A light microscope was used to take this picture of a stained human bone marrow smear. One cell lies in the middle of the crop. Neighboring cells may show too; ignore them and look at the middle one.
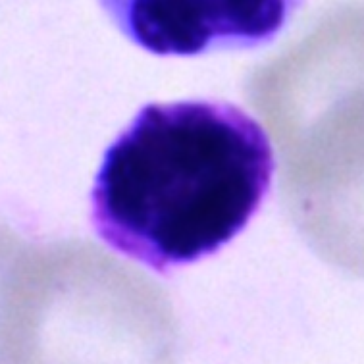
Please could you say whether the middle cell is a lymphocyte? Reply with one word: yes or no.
no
